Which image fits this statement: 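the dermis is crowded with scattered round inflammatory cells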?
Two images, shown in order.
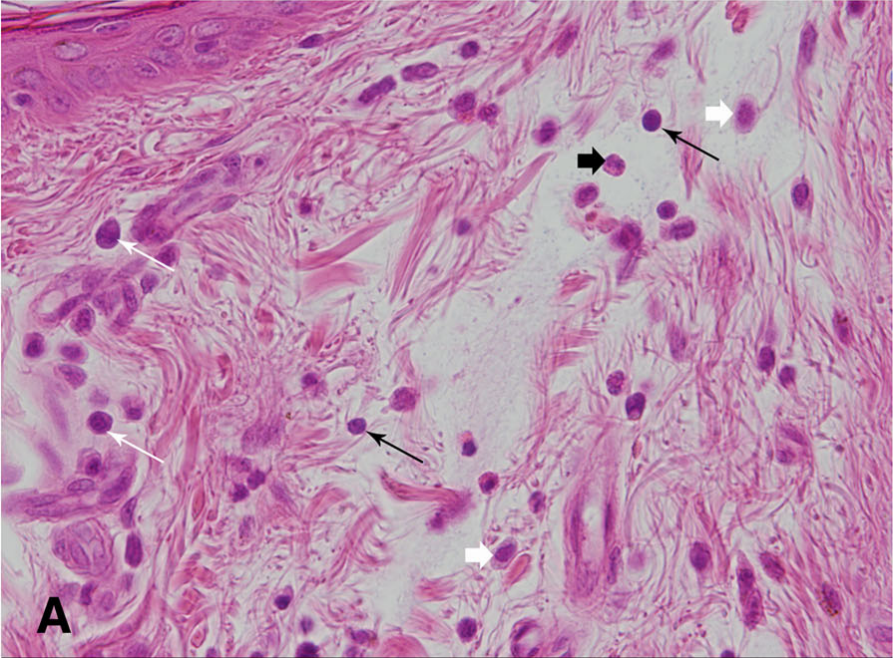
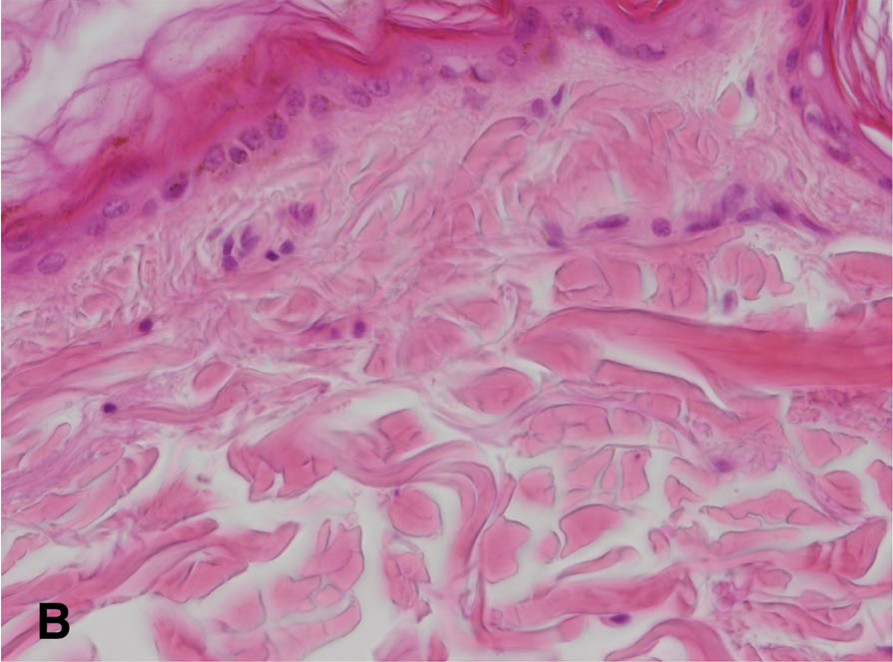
the first image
